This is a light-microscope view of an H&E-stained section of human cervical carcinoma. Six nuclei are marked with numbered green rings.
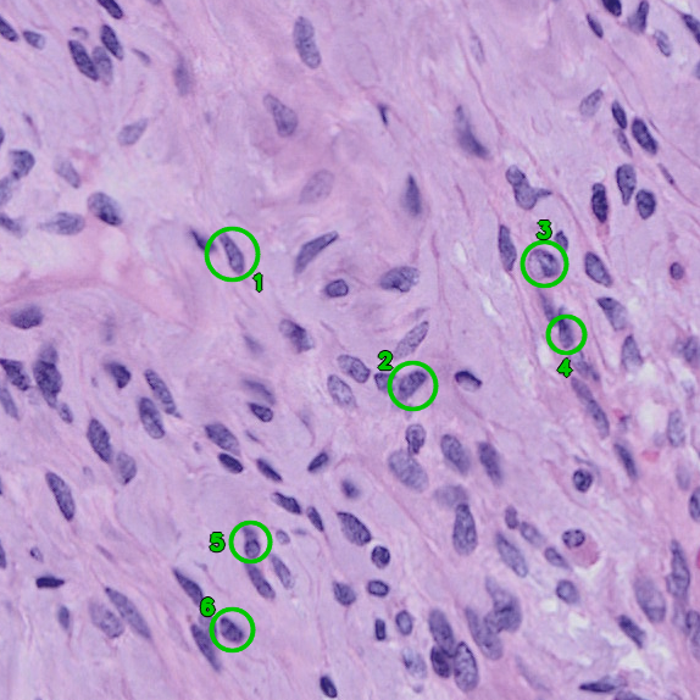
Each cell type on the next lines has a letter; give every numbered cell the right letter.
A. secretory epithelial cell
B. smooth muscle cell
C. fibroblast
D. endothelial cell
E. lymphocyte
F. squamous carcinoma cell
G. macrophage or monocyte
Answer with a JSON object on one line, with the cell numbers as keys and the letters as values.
{"1": "C", "2": "C", "3": "B", "4": "D", "5": "C", "6": "C"}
